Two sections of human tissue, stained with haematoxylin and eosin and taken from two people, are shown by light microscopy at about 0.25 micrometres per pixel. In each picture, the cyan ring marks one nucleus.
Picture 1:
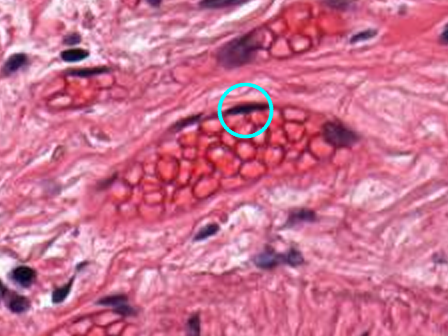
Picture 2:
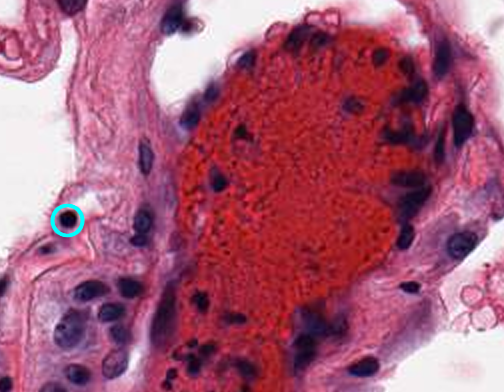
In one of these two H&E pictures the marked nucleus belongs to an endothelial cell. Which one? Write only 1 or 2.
1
